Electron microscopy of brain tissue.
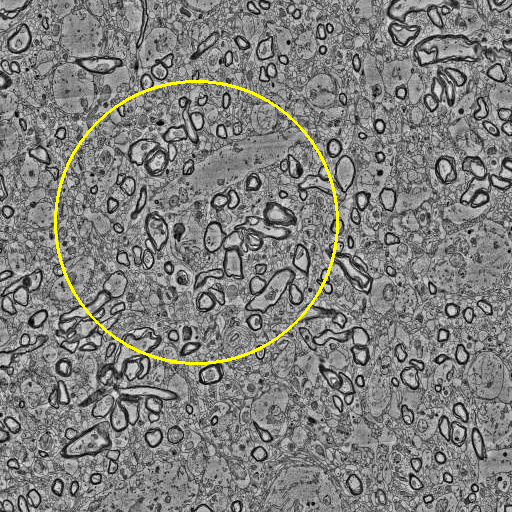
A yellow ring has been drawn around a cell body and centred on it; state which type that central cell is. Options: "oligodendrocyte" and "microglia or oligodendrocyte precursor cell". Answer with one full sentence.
The cell at the middle of the yellow ring is a microglial cell or oligodendrocyte precursor cell in this picture.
